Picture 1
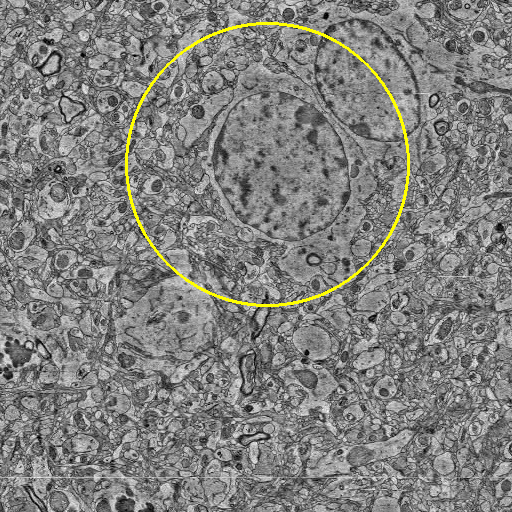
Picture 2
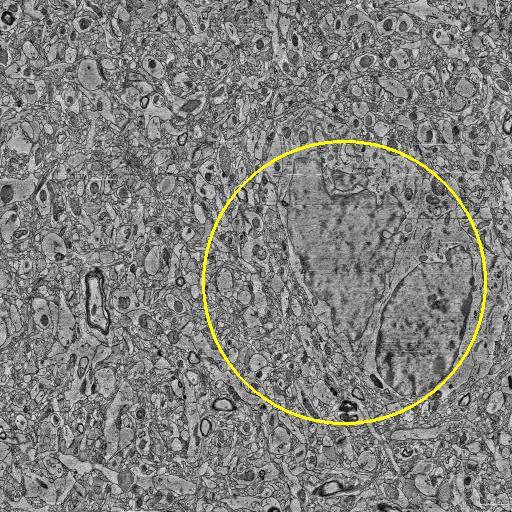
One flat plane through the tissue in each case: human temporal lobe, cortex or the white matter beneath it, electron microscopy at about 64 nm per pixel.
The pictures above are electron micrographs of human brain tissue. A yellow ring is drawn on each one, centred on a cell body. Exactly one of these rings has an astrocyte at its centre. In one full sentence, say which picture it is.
Picture 1 has it at the centre of its ring.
